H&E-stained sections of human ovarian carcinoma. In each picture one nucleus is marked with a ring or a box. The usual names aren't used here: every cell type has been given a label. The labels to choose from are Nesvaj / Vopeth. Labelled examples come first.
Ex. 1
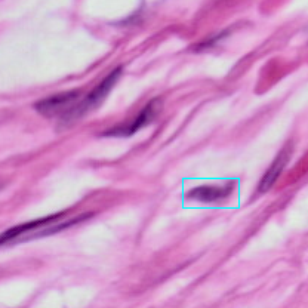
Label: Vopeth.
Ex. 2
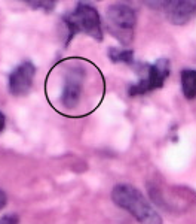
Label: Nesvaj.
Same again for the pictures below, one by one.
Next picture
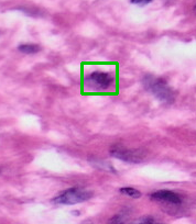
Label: Vopeth.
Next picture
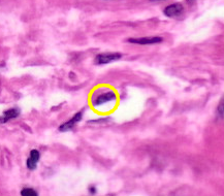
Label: Vopeth.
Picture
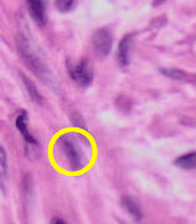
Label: Vopeth.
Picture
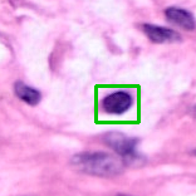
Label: Nesvaj.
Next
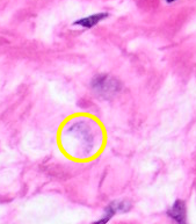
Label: Vopeth.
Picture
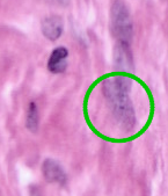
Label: Vopeth.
